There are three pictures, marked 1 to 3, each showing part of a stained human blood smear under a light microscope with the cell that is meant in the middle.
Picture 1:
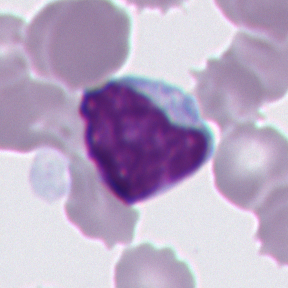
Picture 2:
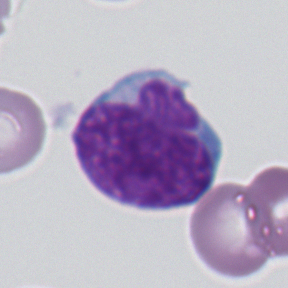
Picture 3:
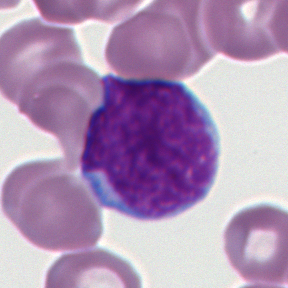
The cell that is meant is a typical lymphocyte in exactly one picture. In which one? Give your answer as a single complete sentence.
Picture 1 is the one that shows the typical lymphocyte.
